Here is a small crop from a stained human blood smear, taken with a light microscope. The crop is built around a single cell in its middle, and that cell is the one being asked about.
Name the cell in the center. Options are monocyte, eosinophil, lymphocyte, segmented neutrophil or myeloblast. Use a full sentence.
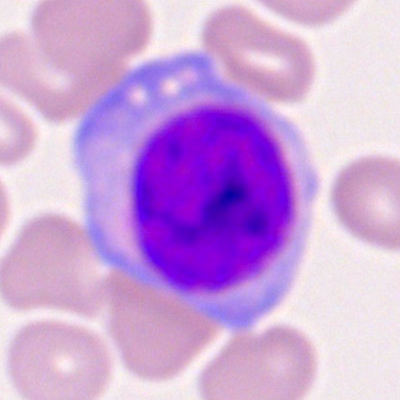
Classification of the middle cell gives a monocyte.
